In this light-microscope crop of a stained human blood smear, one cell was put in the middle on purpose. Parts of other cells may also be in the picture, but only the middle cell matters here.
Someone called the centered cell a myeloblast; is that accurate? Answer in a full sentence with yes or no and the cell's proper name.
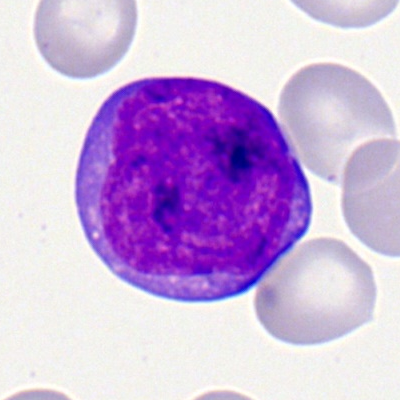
Yes, the cell in the middle has the identity of a myeloblast.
